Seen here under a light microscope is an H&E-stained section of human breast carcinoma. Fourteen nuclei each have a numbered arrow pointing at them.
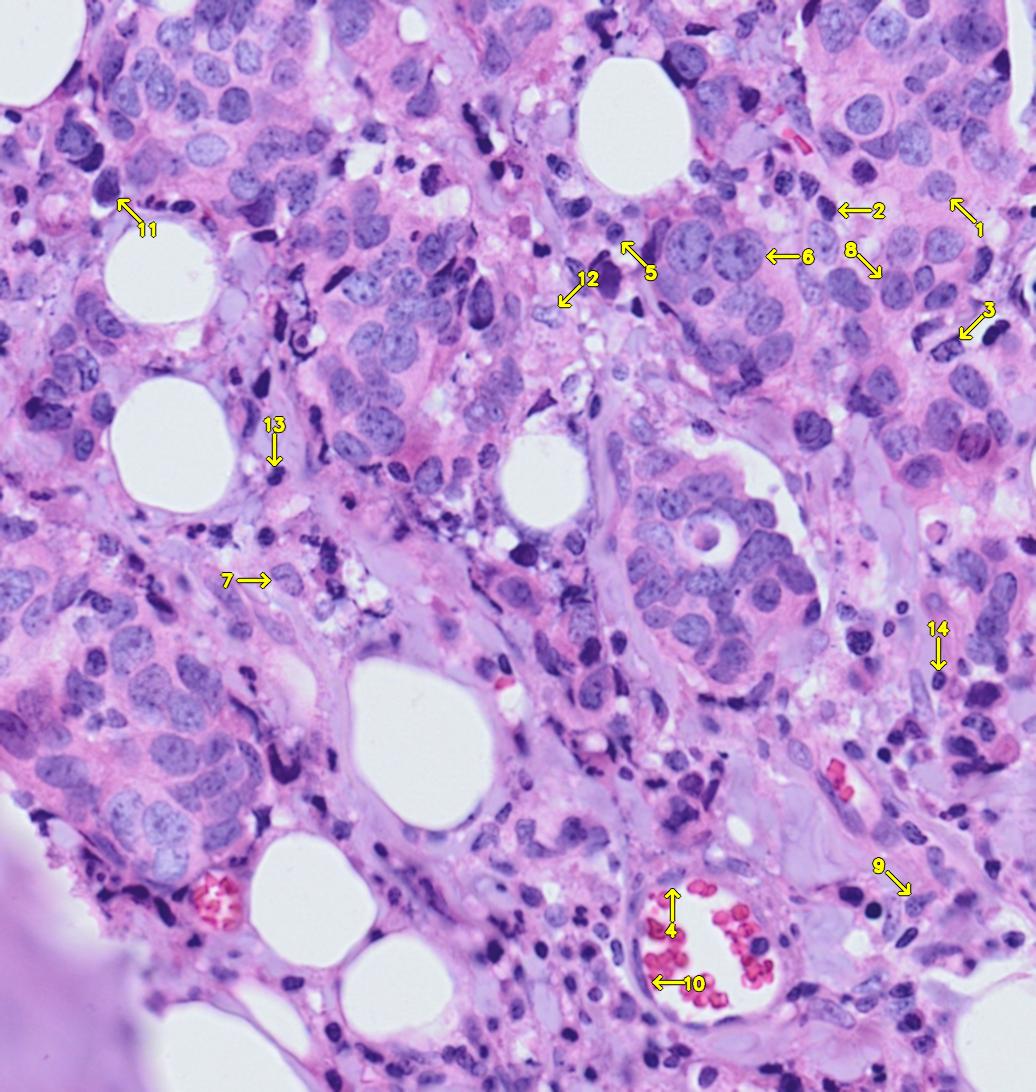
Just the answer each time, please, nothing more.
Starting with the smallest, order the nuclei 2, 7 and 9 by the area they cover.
2, 9, 7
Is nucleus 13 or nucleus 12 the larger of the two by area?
12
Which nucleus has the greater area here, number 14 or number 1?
1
